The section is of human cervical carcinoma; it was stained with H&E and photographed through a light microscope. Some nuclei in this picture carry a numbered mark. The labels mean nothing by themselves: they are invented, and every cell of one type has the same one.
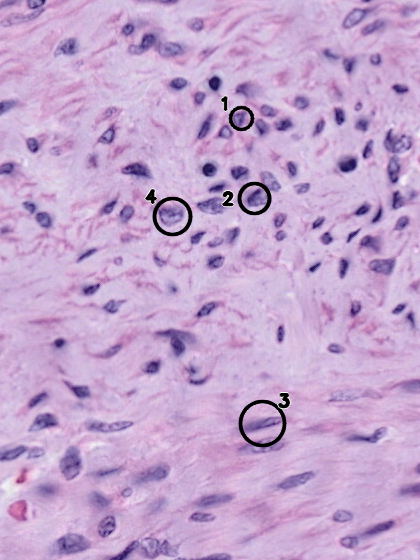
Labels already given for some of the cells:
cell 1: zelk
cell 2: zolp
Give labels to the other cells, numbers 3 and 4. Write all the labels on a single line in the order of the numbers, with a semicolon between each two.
zelk; zelk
